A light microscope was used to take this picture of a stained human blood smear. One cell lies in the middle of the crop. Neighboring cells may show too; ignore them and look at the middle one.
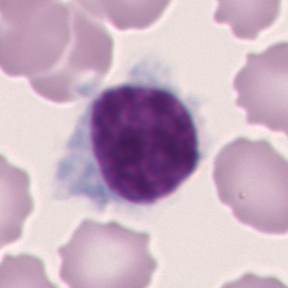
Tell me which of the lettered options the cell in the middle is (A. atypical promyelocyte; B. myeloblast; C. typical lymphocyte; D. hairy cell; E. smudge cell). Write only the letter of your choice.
D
